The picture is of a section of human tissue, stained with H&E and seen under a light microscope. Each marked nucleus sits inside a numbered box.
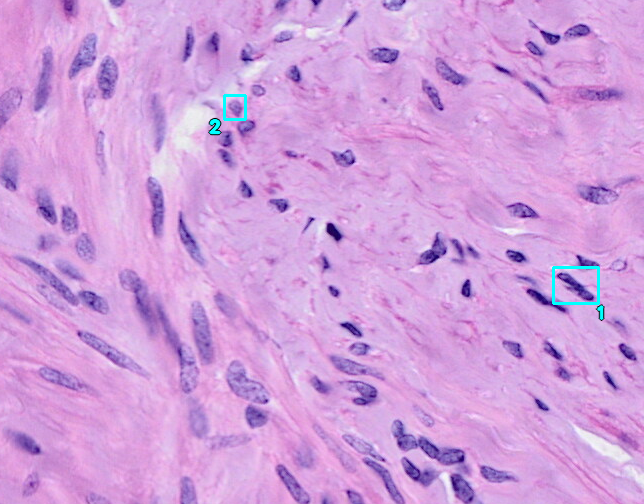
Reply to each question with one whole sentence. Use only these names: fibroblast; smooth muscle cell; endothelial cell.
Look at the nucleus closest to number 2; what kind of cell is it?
It is a smooth muscle cell whose nucleus is nearest to number 2.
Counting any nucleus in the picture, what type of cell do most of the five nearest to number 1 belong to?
The majority of the five nuclei closest to number 1 belong to fibroblasts.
